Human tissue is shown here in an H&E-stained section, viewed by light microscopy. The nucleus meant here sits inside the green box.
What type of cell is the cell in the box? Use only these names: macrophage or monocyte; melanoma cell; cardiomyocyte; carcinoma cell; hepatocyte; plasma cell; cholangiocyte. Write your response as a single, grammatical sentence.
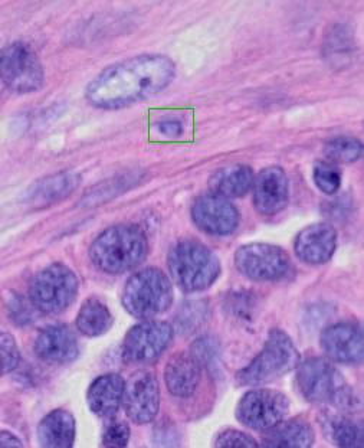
As for its identity, the cell in the box is a macrophage or monocyte.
